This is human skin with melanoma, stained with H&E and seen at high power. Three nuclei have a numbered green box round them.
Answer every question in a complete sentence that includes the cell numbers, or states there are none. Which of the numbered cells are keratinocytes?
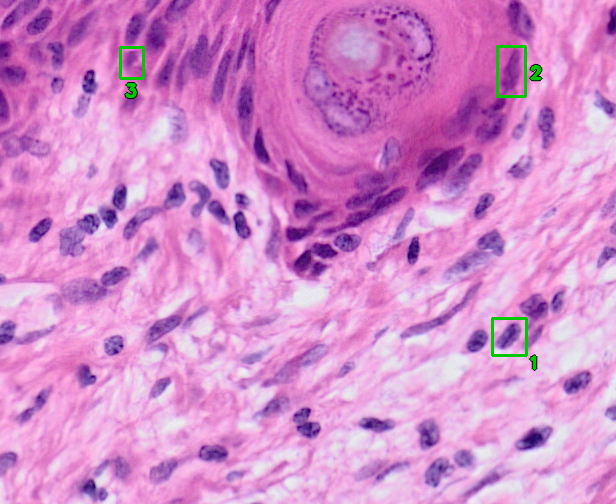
The cells whose numbers are 2 and 3 are keratinocytes.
